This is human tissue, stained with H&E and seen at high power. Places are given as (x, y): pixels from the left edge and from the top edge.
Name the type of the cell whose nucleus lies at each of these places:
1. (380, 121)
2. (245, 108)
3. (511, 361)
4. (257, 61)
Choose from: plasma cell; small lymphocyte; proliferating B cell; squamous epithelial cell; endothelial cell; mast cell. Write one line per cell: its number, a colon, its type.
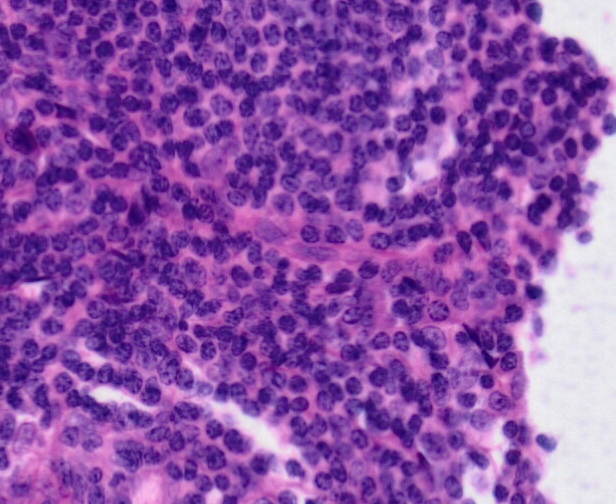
1: small lymphocyte
2: small lymphocyte
3: plasma cell
4: small lymphocyte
